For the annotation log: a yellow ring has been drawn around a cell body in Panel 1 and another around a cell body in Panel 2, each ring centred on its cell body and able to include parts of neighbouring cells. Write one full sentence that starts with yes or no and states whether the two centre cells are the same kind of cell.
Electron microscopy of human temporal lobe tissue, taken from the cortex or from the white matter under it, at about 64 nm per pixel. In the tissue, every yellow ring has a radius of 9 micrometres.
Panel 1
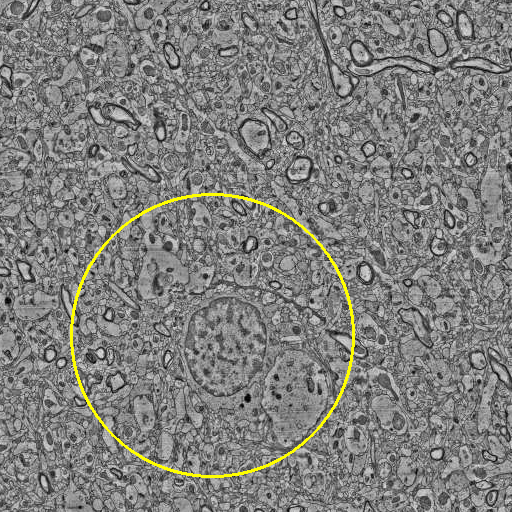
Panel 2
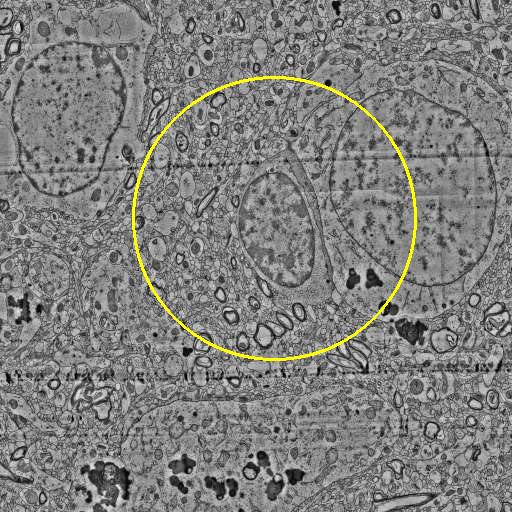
Yes, the two centre cells are the same kind of cell.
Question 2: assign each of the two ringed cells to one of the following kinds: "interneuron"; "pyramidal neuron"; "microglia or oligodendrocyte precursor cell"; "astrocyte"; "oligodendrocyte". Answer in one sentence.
In both pictures the ring is centred on an oligodendrocyte.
